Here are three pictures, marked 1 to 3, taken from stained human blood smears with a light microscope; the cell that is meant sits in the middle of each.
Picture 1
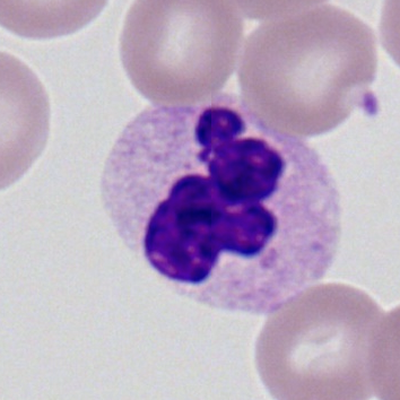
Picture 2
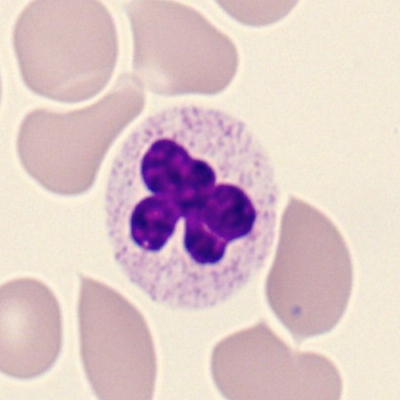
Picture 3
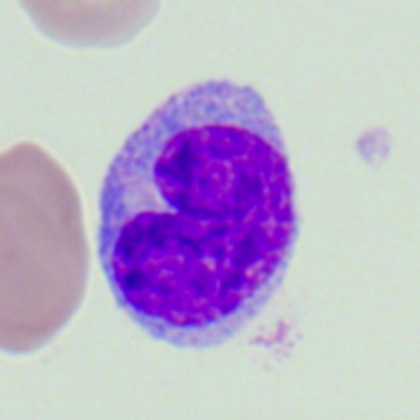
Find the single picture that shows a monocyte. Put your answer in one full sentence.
The cell in picture 3 is the monocyte.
